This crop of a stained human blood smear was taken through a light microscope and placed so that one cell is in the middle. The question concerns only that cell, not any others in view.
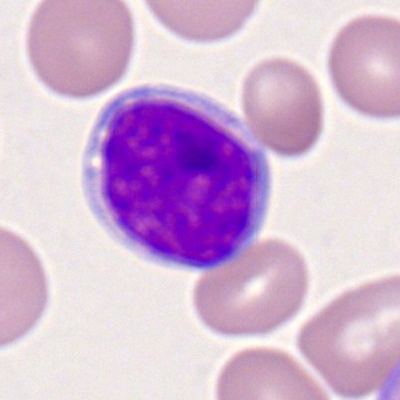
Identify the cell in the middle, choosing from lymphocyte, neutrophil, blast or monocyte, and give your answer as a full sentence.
Located at the centre of the crop is a blast.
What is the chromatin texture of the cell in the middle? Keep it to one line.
The chromatin within its nucleus forms coarse clumps.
